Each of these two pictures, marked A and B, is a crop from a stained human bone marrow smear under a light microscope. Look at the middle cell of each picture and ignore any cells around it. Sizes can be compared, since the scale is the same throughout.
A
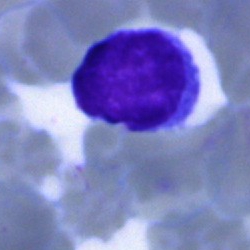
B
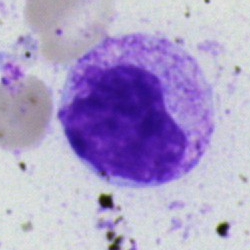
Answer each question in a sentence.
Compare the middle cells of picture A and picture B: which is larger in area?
The cell in picture B is larger, with about 2 times the area of the one in picture A.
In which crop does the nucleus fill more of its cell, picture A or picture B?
The nucleus fills more of the cell in picture A than in picture B.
